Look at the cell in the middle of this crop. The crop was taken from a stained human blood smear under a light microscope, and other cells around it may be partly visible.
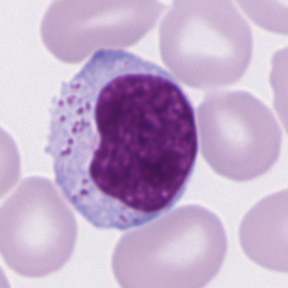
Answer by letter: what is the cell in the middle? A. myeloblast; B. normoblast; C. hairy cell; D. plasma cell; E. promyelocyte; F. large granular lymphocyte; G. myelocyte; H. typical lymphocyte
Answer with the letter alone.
F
